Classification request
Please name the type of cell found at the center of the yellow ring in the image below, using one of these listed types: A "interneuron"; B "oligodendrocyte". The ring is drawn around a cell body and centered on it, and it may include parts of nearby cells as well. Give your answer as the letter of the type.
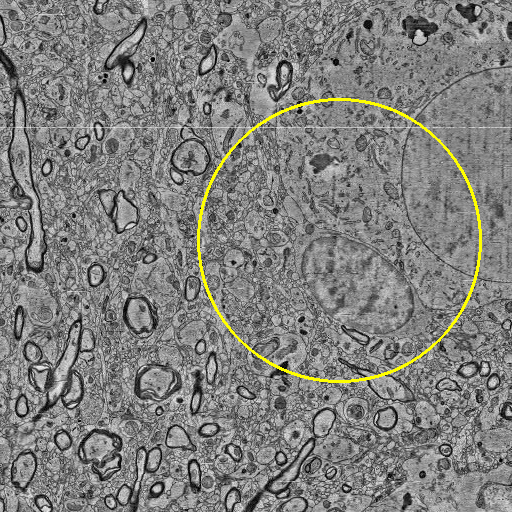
B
